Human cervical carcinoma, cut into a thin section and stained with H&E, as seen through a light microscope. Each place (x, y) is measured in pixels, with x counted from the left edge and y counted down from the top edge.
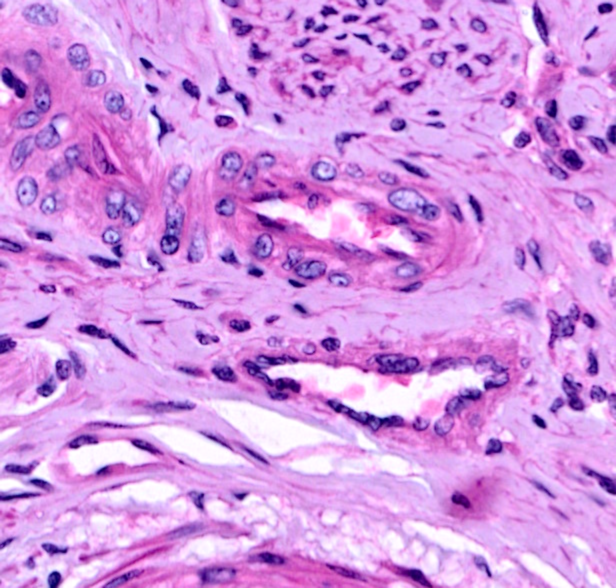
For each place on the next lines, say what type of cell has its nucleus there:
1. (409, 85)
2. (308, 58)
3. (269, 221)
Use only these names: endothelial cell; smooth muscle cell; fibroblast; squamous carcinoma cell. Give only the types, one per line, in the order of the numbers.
smooth muscle cell
smooth muscle cell
endothelial cell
